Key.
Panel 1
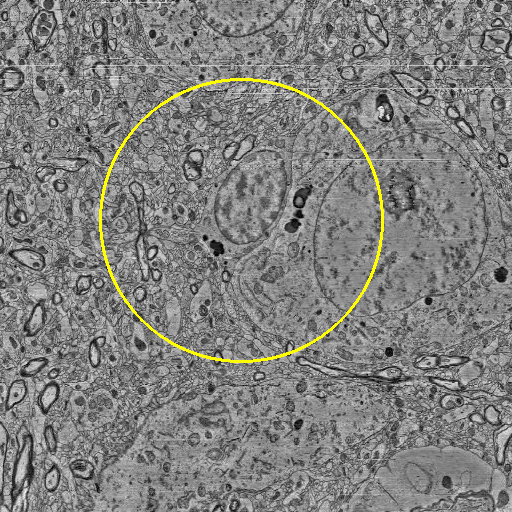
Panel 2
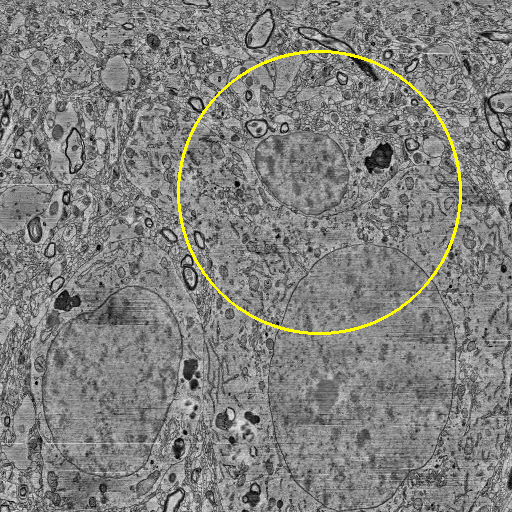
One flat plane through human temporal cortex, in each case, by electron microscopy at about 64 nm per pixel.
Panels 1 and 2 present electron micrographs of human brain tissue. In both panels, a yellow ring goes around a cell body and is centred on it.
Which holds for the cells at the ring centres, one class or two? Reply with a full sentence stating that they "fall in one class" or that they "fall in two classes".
Taken together, the ring-centre cells of the two panels fall in one class.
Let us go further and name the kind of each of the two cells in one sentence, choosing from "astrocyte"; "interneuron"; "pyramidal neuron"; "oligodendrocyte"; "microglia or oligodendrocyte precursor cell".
Both cells are the same kind, each one being an oligodendrocyte.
